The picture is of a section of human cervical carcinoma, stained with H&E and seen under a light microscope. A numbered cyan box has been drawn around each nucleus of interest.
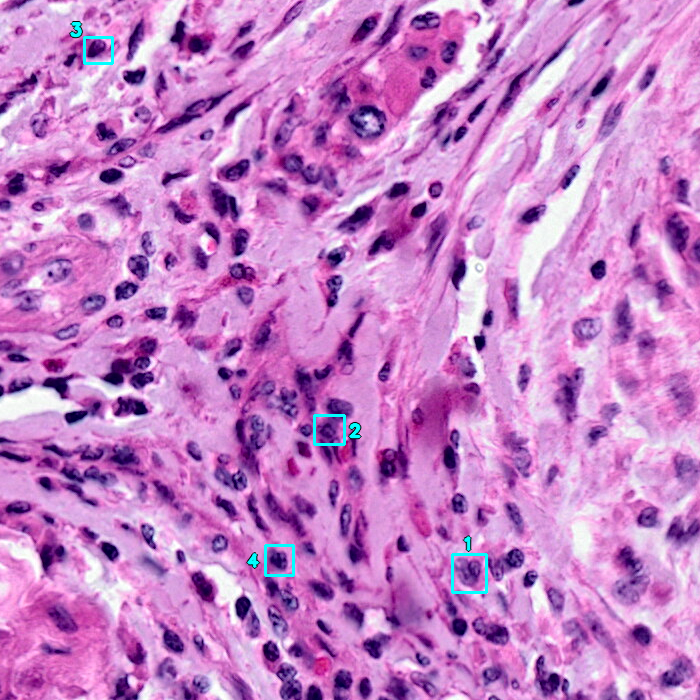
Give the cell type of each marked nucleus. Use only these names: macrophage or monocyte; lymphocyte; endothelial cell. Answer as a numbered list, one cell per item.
1. macrophage or monocyte
2. endothelial cell
3. macrophage or monocyte
4. lymphocyte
